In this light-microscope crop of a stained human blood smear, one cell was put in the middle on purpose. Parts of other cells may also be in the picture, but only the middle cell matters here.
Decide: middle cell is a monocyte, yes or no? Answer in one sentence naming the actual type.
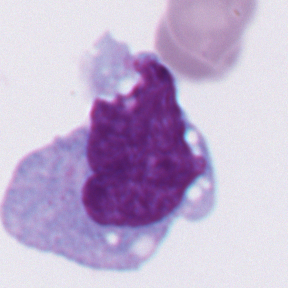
Yes, the cell in the middle is a monocyte.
